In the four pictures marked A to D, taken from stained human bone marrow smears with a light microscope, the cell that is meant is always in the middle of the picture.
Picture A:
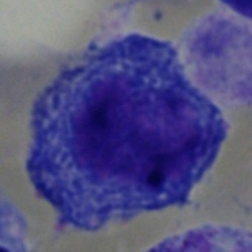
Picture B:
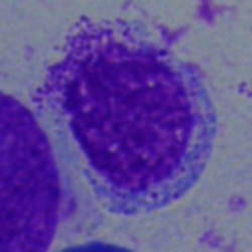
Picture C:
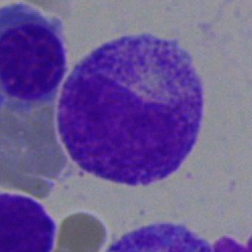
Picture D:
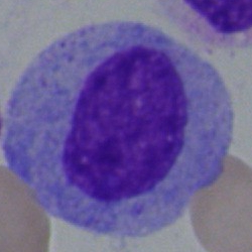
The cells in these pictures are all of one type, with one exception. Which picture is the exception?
A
